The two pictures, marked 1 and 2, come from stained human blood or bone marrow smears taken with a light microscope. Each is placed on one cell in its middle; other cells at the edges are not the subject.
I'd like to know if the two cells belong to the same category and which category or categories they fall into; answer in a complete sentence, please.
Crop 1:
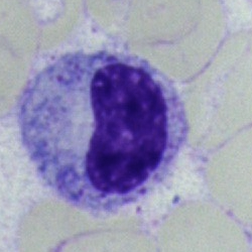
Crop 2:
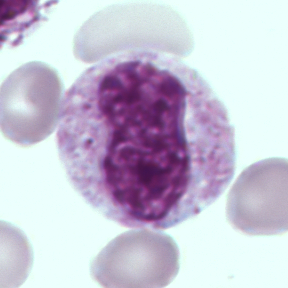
Yes, both crops are centred on cells that are metamyelocytes.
